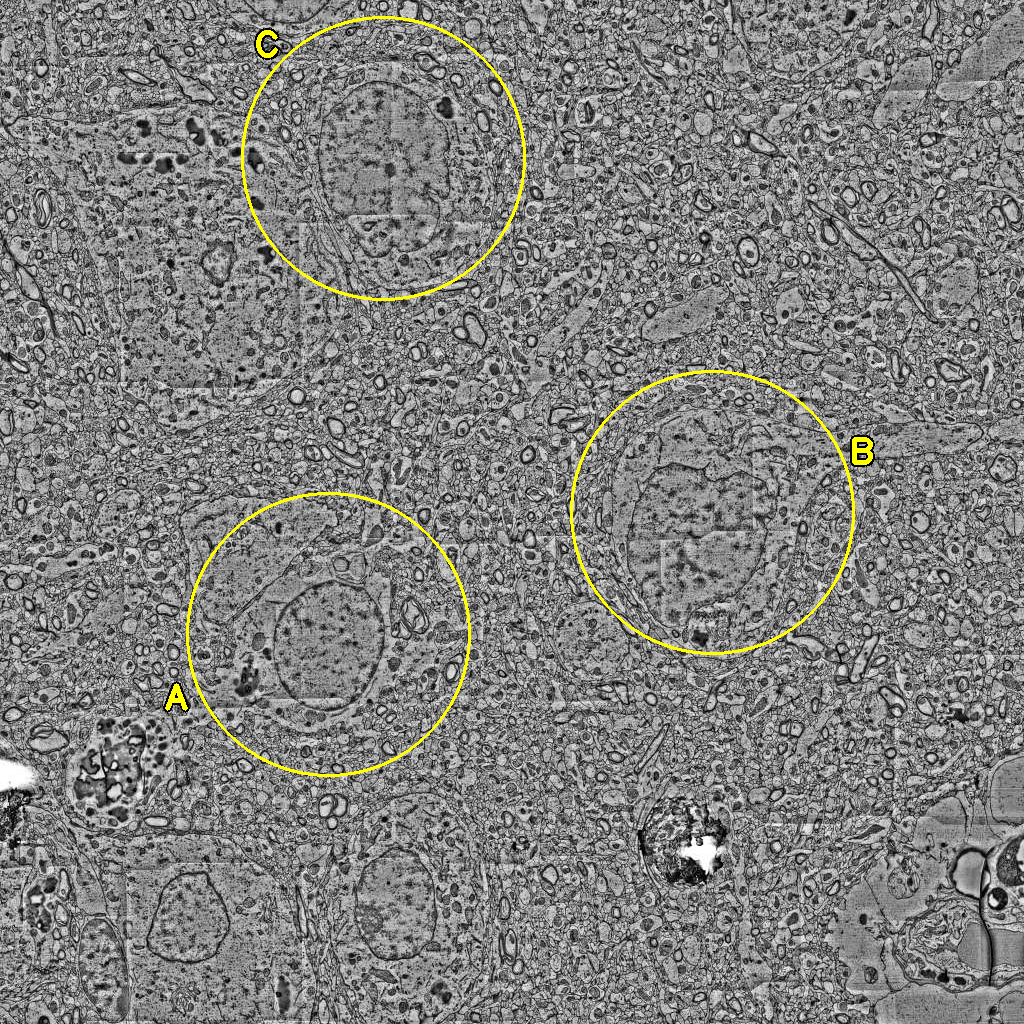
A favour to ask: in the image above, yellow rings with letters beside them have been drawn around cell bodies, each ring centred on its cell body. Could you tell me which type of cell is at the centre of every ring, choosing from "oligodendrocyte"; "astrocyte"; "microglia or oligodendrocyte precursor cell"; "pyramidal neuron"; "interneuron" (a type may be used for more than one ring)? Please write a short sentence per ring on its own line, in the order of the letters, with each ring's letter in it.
Ring A holds an astrocyte at its centre.
Ring B holds a pyramidal neuron at its centre.
Ring C holds a pyramidal neuron at its centre.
